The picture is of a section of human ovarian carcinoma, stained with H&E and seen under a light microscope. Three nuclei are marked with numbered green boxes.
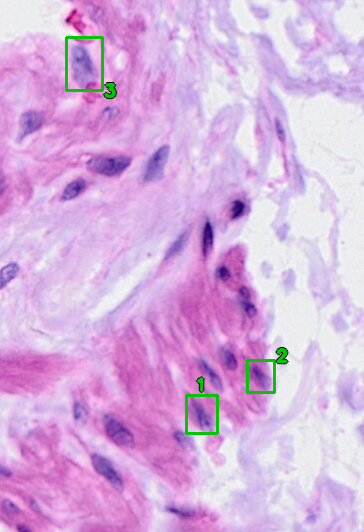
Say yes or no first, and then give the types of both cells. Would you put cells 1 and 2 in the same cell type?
Yes, both are smooth muscle cells.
